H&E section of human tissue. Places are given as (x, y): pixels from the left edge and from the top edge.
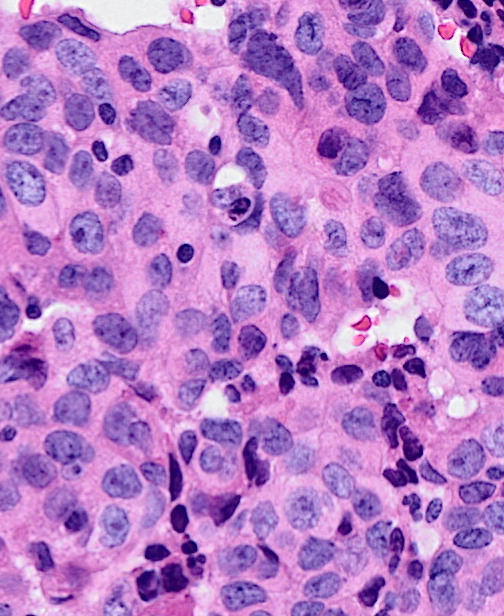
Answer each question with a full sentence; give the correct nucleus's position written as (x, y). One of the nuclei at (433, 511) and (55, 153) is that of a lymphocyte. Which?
Between the two nuclei, the one sitting at (433, 511) belongs to a lymphocyte.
